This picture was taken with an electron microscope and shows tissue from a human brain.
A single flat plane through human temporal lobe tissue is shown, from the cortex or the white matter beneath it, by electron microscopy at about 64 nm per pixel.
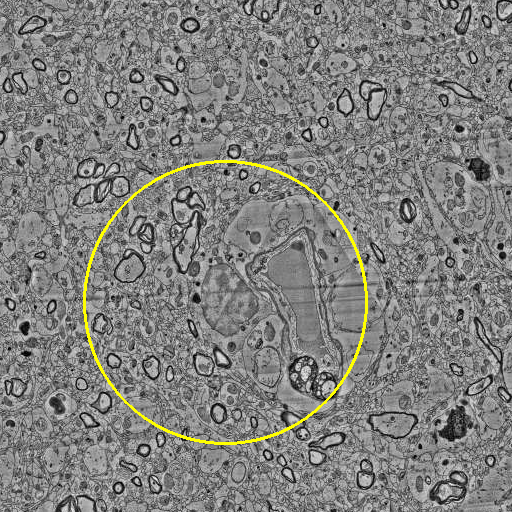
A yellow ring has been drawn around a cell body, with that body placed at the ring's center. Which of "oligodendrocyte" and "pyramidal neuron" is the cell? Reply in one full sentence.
In this picture, an oligodendrocyte is the cell at the center of the yellow ring.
